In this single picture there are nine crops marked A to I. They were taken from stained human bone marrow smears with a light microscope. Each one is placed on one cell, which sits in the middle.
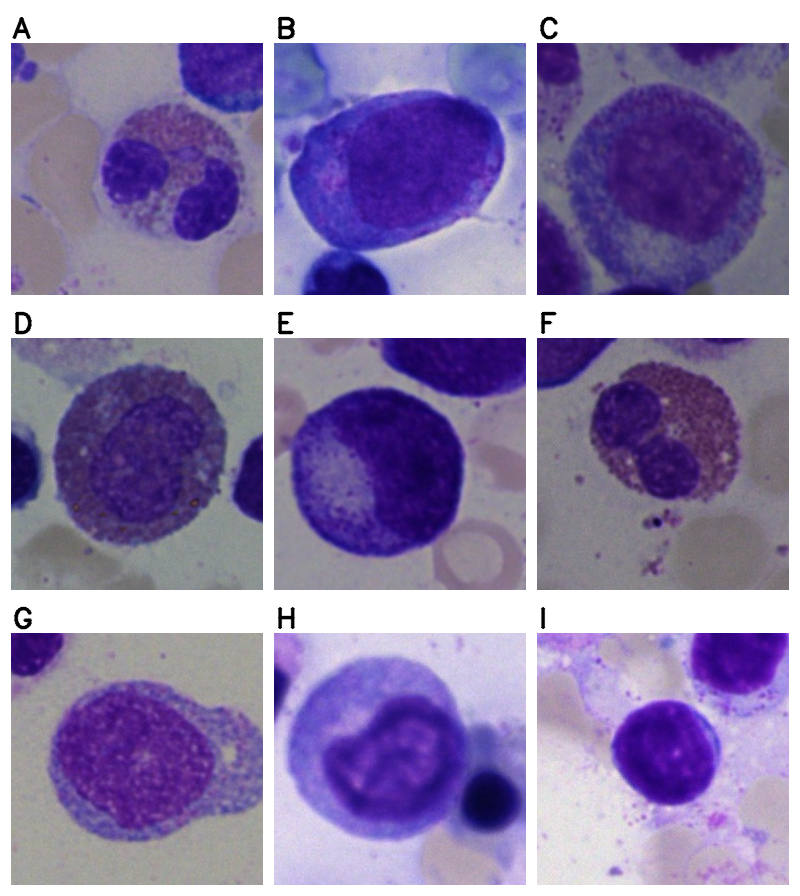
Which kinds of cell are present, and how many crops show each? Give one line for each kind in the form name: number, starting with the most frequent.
promyelocyte: 5
eosinophil: 3
lymphocyte: 1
